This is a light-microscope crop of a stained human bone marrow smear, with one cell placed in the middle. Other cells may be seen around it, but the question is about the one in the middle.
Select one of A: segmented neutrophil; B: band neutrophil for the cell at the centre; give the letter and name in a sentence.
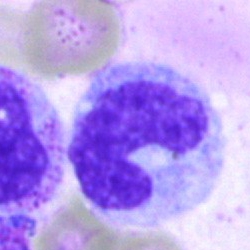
Option B is right, the centrally situated cell being a band neutrophil.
